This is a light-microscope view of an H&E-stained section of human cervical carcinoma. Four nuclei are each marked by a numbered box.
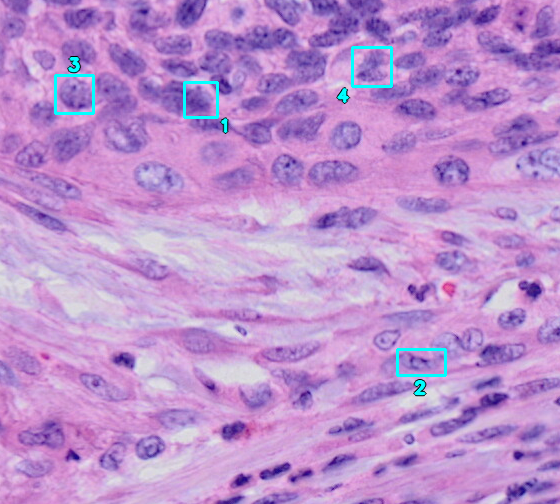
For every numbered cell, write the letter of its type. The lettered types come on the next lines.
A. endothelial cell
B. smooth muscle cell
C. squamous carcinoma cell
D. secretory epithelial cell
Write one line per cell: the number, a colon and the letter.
1: C
2: A
3: C
4: C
